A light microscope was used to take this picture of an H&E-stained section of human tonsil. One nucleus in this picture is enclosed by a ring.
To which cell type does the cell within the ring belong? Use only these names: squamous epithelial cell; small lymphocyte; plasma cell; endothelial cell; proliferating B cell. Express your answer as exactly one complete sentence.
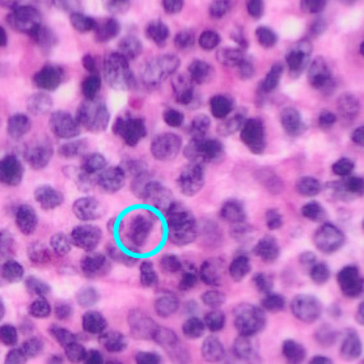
Within this tissue, the cell within the ring is a proliferating B cell.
